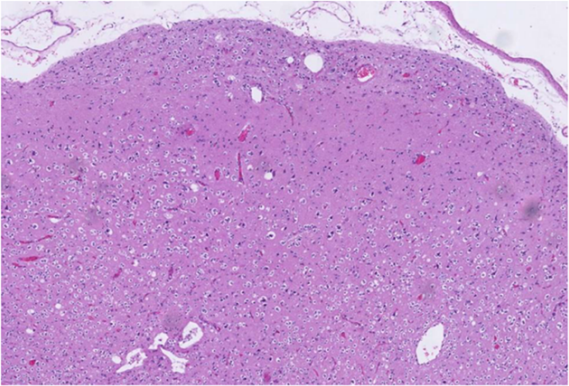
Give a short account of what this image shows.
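Low-power view of cerebral cortex and superficial white matter infiltrated by a tumor. The tissue is diffusely cellular, and many cells have small round nuclei with pale halos. The tumor reaches up to the brain surface beneath the thin pial membrane. Scattered small vessels run through the pink tissue.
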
